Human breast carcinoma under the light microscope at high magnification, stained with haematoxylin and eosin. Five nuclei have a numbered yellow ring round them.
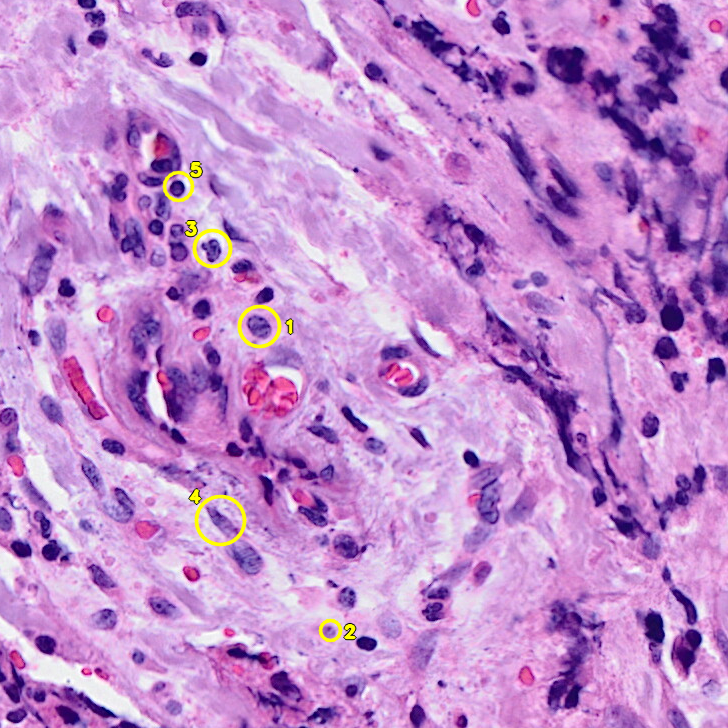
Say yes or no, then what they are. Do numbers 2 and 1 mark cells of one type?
Yes, both are mast cells.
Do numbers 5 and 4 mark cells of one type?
No, cell 5 is a lymphocyte and cell 4 is a fibroblast.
